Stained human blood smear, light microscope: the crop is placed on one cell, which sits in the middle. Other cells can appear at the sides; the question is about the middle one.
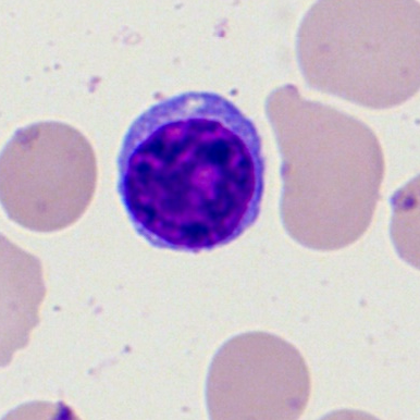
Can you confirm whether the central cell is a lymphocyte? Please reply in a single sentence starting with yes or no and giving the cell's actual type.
Yes, the cell in the middle of the view is a lymphocyte.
